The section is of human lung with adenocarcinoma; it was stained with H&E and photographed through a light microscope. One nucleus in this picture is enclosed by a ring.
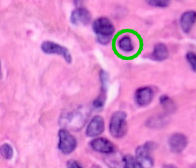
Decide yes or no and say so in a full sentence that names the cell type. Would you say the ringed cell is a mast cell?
No, the ringed cell is termed a lymphocyte, not a mast cell.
